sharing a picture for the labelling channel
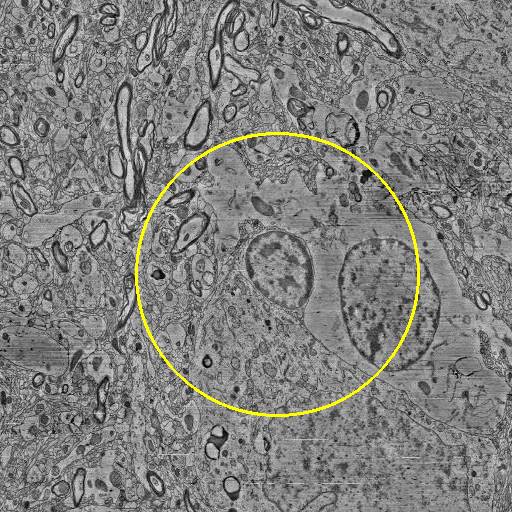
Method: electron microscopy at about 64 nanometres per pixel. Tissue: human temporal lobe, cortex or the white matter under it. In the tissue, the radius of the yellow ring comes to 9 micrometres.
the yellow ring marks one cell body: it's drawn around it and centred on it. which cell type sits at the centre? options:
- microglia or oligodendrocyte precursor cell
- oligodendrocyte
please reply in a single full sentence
In the picture, the cell at the ring's centre is a microglial cell or oligodendrocyte precursor cell, going by the list.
